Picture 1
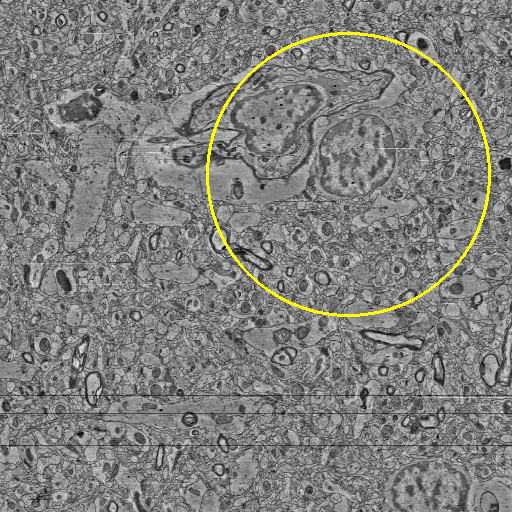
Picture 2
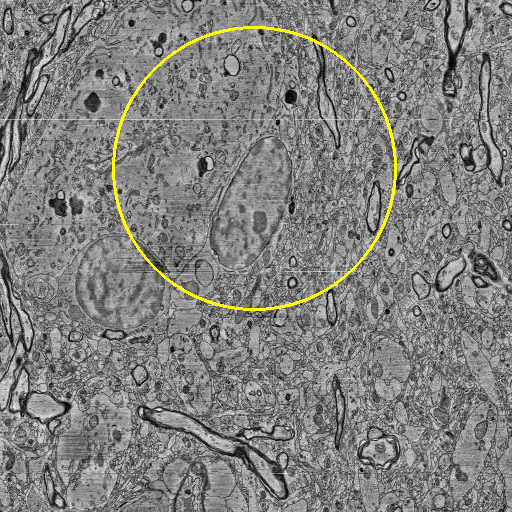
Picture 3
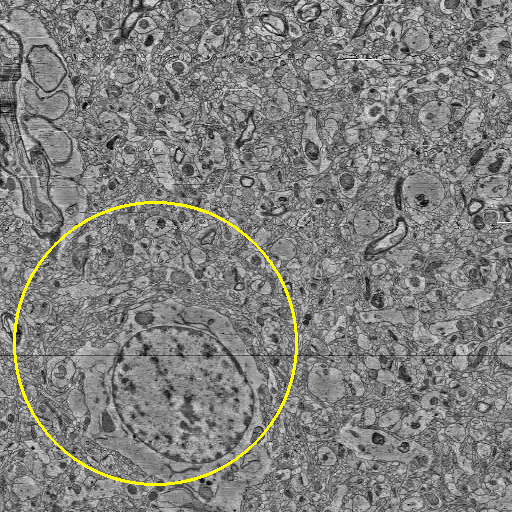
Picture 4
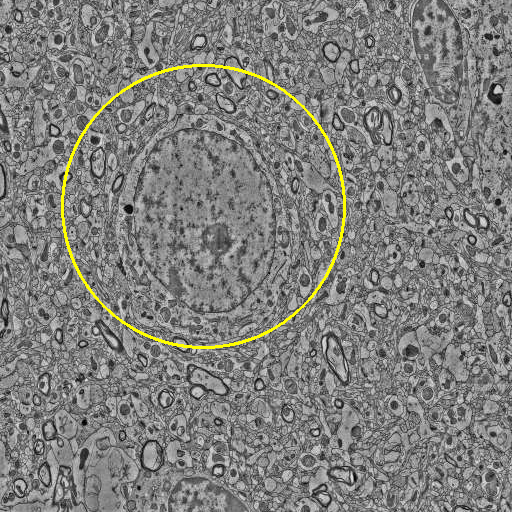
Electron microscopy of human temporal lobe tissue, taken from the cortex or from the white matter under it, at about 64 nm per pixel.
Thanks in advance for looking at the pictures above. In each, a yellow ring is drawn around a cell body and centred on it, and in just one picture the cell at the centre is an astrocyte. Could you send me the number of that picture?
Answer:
3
